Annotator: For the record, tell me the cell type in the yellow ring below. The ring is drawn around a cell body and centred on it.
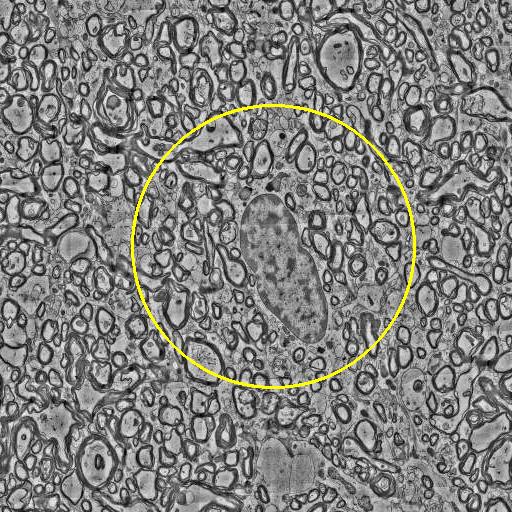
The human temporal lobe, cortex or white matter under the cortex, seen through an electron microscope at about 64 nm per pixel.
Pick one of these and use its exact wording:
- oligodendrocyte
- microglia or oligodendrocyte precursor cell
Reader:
microglia or oligodendrocyte precursor cell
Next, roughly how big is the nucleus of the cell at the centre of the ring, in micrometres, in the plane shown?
In this plane the nucleus is about 10 micrometres by 4.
